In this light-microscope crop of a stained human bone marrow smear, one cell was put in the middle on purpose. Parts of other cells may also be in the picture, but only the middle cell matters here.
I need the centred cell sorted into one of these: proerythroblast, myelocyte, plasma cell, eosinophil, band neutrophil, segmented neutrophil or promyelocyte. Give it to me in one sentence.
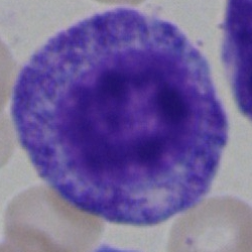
The cell that lies at the centre of the crop is a promyelocyte.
